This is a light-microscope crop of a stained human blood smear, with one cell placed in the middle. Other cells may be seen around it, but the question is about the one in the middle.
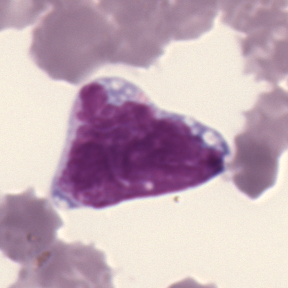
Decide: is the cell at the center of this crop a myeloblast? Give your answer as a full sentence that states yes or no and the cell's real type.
Yes, the cell at the very centre of the crop is a myeloblast.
